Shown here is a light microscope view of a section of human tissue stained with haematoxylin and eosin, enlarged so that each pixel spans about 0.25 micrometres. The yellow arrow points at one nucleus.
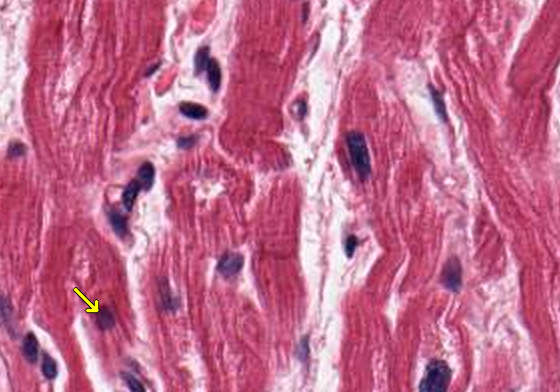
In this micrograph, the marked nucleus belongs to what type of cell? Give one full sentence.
The marked nucleus is part of a cardiomyocyte.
